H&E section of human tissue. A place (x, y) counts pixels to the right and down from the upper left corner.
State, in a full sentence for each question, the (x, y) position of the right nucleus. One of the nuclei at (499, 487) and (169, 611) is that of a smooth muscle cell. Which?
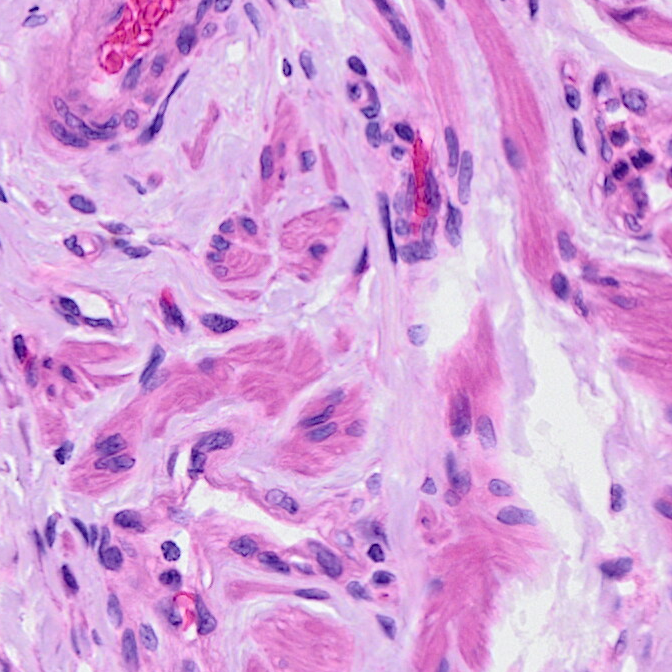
Of the two nuclei, the nucleus belonging to a smooth muscle cell is located at (499, 487).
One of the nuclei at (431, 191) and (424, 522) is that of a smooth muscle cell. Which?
The nucleus that belongs to a smooth muscle cell is located at (424, 522).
